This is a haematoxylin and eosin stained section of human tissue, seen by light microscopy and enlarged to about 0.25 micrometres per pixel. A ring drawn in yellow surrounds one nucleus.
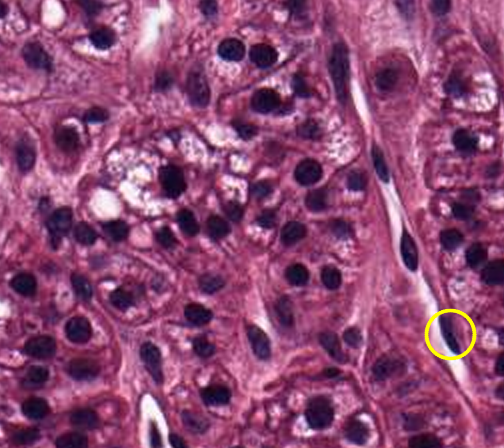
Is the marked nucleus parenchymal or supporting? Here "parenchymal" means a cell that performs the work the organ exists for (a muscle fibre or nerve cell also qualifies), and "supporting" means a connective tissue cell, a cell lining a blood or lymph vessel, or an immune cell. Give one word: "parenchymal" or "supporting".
supporting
